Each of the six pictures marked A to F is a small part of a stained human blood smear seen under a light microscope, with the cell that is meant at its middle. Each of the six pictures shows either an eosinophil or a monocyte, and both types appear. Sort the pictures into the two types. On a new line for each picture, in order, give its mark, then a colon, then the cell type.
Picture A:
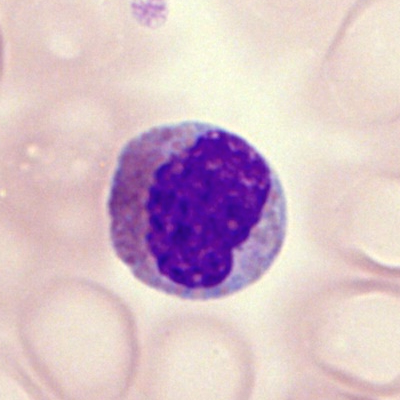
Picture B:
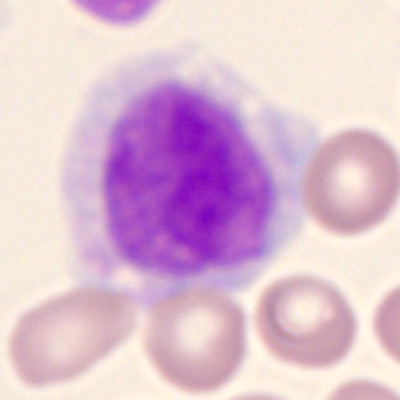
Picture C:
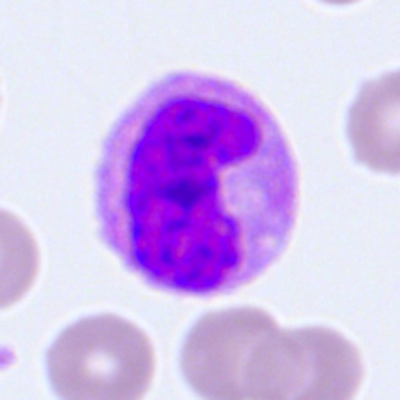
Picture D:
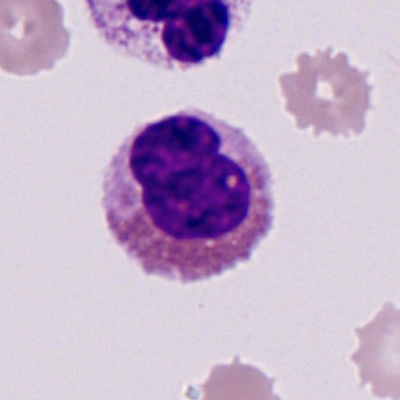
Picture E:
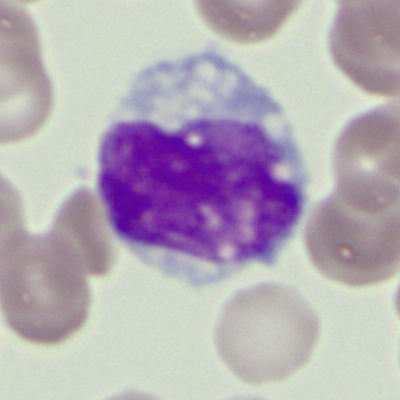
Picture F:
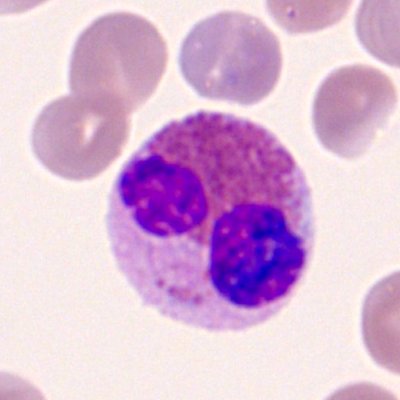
A: eosinophil
B: monocyte
C: monocyte
D: eosinophil
E: monocyte
F: eosinophil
